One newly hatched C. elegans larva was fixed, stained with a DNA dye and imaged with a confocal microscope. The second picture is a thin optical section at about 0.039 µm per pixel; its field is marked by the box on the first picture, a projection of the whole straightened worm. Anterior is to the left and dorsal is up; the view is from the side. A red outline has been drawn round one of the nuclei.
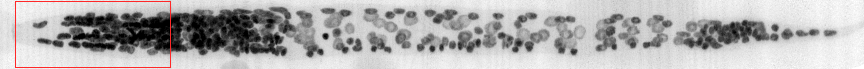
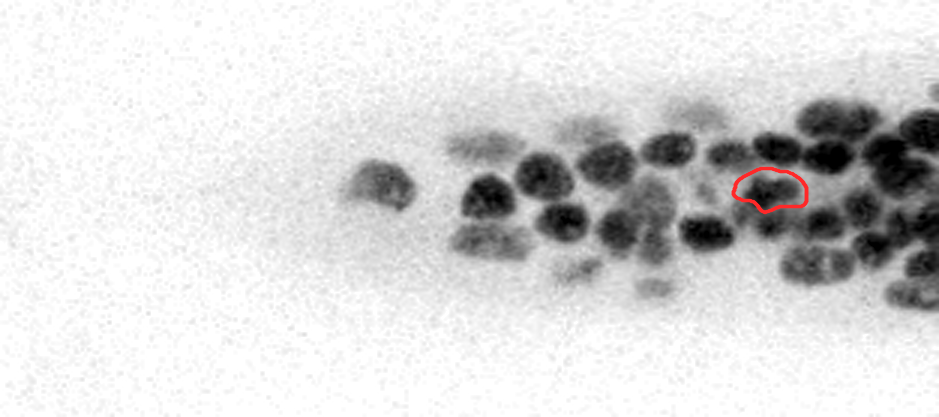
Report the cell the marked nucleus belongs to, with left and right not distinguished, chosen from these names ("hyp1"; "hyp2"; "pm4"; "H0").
pm4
